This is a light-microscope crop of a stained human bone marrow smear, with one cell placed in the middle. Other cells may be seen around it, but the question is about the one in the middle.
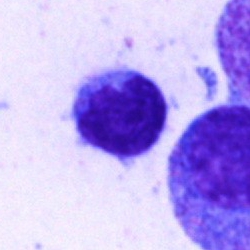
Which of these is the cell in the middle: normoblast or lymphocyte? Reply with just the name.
lymphocyte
